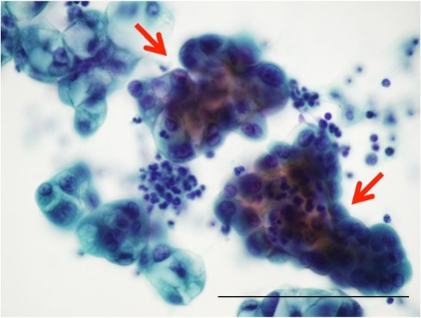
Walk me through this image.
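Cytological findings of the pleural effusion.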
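This fluid preparation shows cohesive clusters of cells lying among scattered single cells. Many small round cells with dark nuclei are scattered between the clusters.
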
